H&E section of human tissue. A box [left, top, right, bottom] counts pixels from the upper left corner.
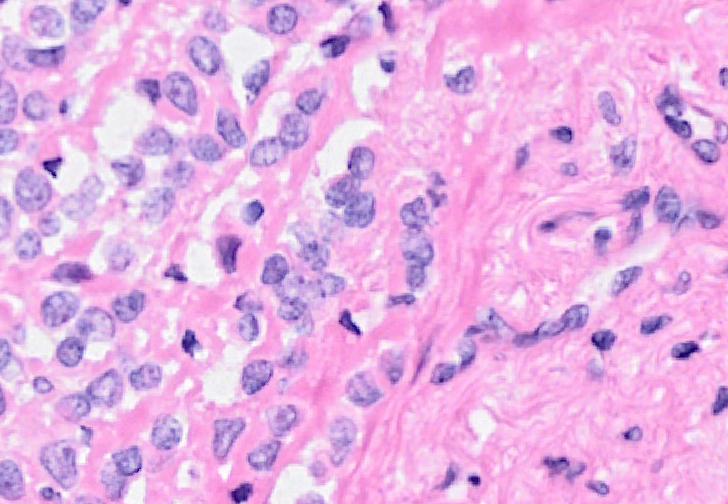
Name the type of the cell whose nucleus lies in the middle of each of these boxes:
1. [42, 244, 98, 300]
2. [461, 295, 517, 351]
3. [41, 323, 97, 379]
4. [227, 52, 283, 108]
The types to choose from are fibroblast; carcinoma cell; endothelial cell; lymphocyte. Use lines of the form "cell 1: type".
cell 1: carcinoma cell
cell 2: endothelial cell
cell 3: carcinoma cell
cell 4: carcinoma cell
